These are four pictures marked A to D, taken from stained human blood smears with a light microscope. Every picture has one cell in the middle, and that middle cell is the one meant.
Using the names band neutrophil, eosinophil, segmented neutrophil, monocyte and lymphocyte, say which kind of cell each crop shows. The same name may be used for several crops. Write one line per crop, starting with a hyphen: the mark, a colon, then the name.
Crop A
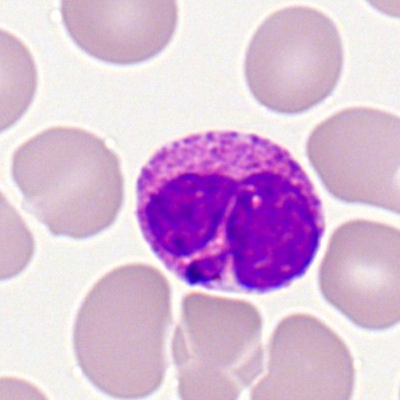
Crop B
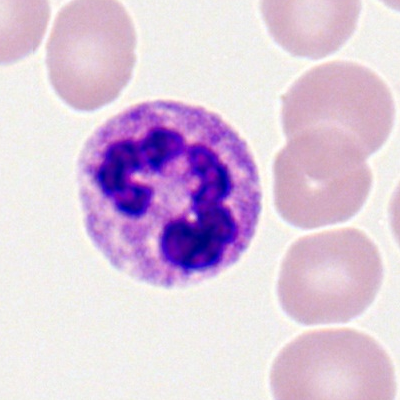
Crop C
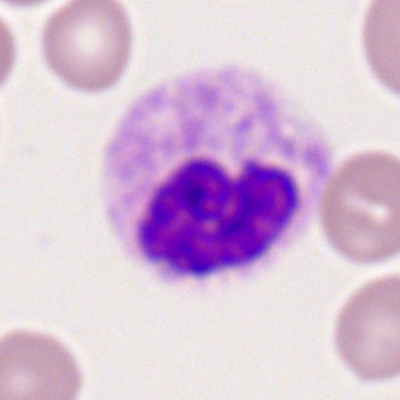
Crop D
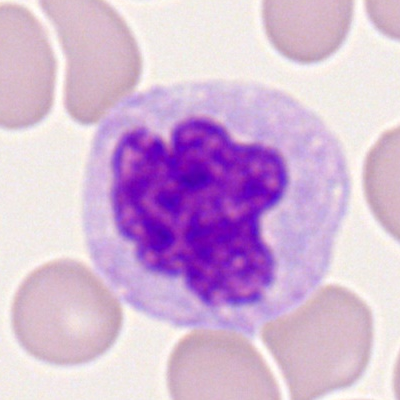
- A: eosinophil
- B: segmented neutrophil
- C: segmented neutrophil
- D: monocyte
